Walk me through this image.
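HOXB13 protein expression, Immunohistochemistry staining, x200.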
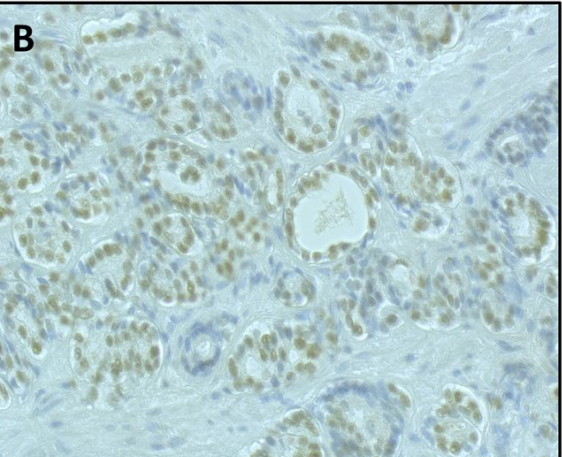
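Prostate glands are cut in cross section, lined by gland cells whose nuclei are stained strongly brown. The glands are small and closely packed, some with a narrow or open lumen containing pale material. The lining cells form one to a few rows, with round to oval brown nuclei and pale, largely unstained cytoplasm. Between the glands lies a stroma of spindle-shaped cells with elongated blue nuclei, unstained by the brown reaction. The contrast between the brown epithelial nuclei and the blue stromal nuclei makes the glandular outlines stand out clearly.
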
